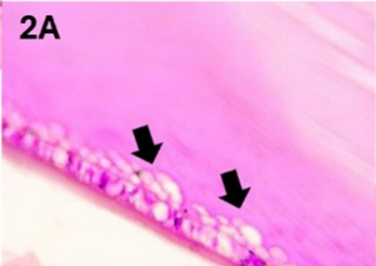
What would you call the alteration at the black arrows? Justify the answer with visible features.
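Clustered clear round spaces fill a band along the edge of the tissue. The black arrows point into this band of clear spaces.
Vacuolization.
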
